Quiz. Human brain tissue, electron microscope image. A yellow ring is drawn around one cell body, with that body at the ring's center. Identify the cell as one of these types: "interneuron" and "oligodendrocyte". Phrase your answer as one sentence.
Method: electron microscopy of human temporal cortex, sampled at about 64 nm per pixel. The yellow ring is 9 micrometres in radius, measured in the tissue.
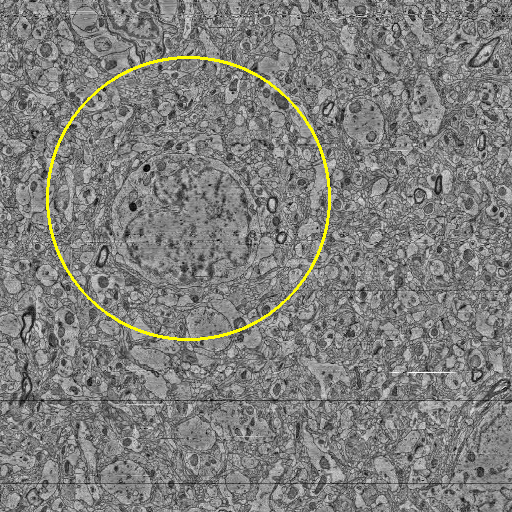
At the center of the ring sits an interneuron.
